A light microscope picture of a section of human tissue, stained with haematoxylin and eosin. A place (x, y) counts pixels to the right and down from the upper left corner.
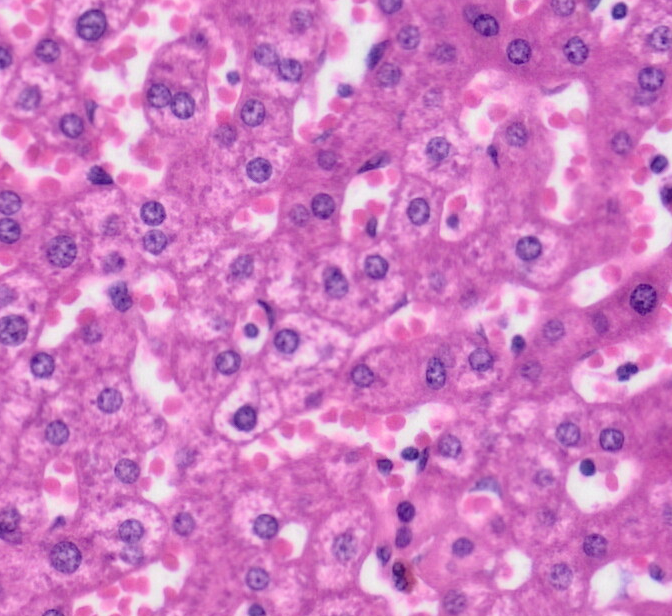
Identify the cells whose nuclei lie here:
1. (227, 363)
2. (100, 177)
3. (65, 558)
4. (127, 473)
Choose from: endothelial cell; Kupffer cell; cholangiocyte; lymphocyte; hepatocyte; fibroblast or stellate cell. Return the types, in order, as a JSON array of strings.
["hepatocyte", "fibroblast or stellate cell", "hepatocyte", "hepatocyte"]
